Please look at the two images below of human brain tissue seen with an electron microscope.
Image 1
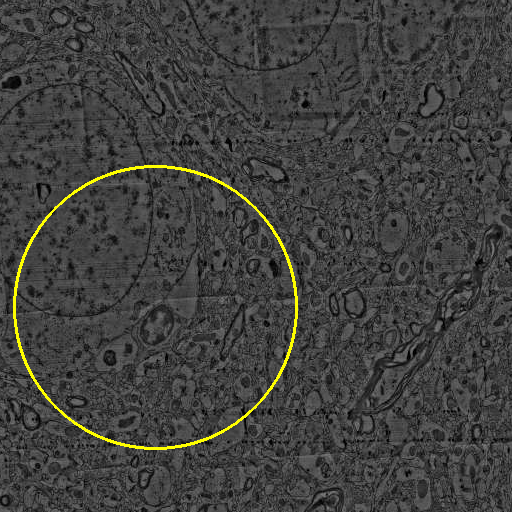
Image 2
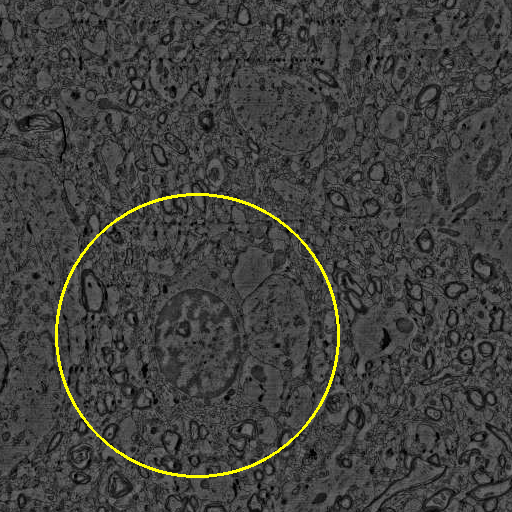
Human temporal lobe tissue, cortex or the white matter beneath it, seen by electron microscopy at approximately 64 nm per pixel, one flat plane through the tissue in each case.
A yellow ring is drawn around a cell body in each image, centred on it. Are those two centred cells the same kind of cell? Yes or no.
no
